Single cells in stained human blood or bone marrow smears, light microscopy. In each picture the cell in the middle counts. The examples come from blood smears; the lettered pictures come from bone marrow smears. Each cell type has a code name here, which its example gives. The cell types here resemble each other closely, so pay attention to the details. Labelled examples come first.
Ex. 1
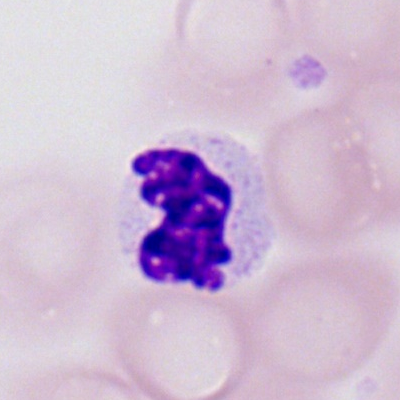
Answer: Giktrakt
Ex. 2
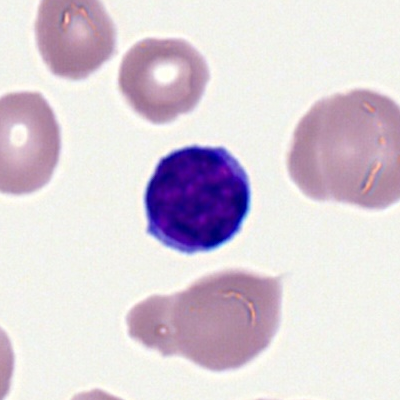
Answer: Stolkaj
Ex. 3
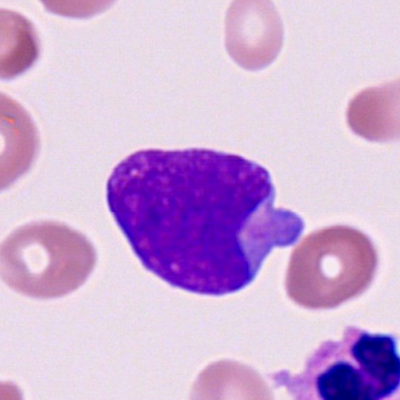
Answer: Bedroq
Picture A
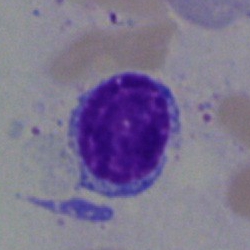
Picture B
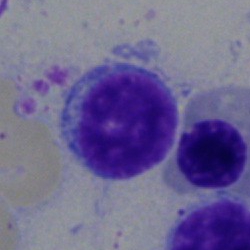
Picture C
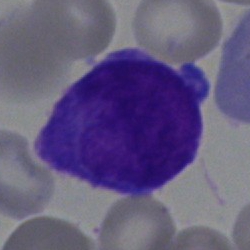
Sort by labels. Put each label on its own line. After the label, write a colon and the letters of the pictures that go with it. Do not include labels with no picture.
Stolkaj: A, B
Bedroq: C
